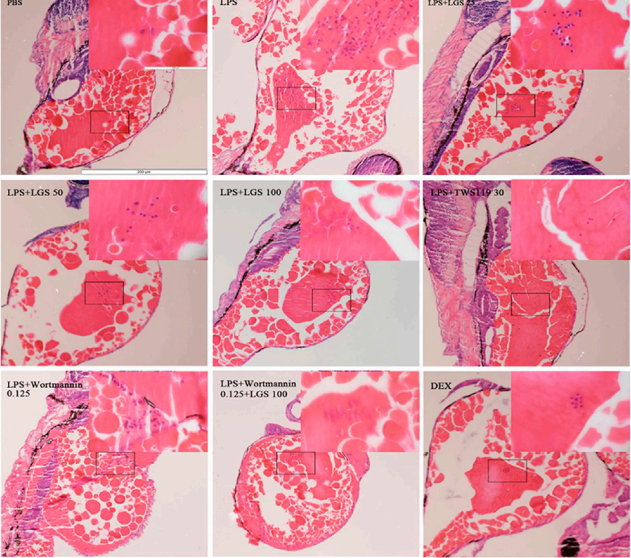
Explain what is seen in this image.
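Thin purple-stained body tissue borders the yolk at the edges. Enlarged insets show small dark purple nuclei, singly or in small clusters, lying in the pink yolk in several of the sections.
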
